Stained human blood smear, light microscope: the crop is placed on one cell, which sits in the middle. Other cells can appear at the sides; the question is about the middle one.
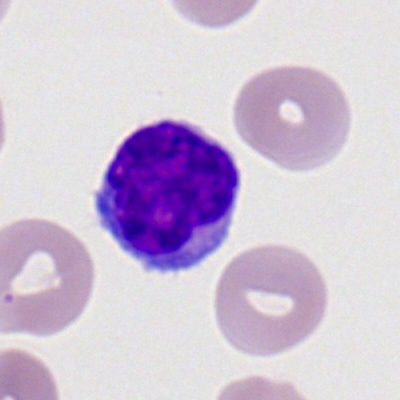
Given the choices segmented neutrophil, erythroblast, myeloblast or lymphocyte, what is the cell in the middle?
lymphocyte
